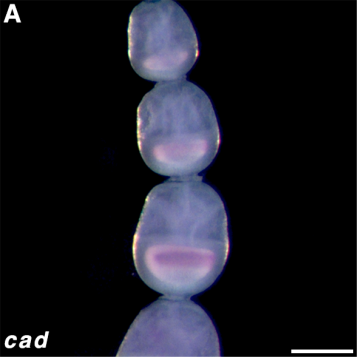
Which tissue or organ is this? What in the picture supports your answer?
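Ovarioles. A chain of oval egg chambers joined end to end. The egg chambers grow larger along the chain.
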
